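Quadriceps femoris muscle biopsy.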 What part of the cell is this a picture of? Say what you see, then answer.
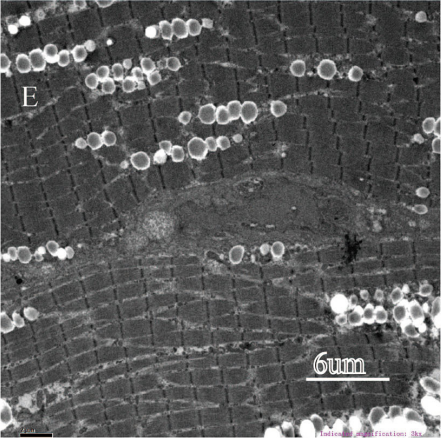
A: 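Round, pale, rimmed vacuoles in rows. Rows lie between striated myofibrils with visible Z-lines. That points to this answer: lipid droplets.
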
